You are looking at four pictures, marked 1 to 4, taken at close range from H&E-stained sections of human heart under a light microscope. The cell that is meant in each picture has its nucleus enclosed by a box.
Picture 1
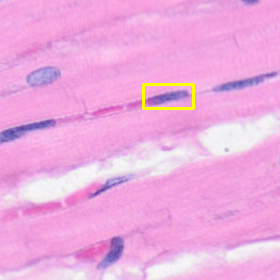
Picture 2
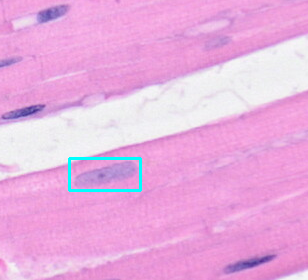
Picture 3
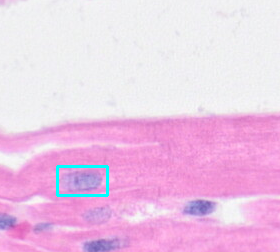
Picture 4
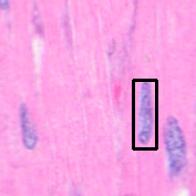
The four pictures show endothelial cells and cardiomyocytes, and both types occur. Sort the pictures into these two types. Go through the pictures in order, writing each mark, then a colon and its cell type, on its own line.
1: endothelial cell
2: cardiomyocyte
3: cardiomyocyte
4: cardiomyocyte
